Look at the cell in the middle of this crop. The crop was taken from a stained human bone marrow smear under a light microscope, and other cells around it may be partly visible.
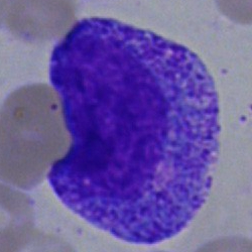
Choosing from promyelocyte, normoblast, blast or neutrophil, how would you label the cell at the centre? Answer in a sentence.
In the center of this field lies a promyelocyte.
